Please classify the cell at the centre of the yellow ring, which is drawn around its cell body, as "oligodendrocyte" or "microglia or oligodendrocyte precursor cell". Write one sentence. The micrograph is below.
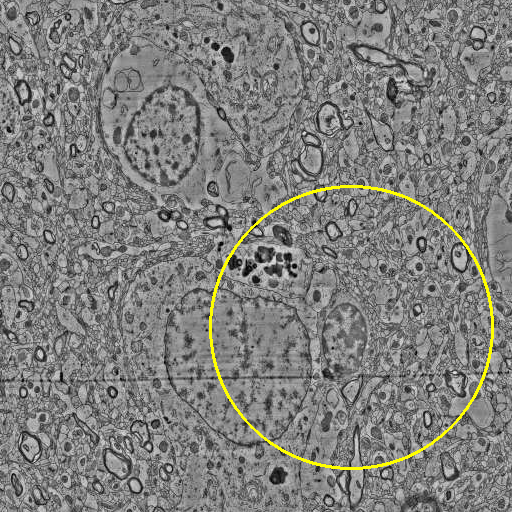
The cell at the ring's centre is classified as an oligodendrocyte.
